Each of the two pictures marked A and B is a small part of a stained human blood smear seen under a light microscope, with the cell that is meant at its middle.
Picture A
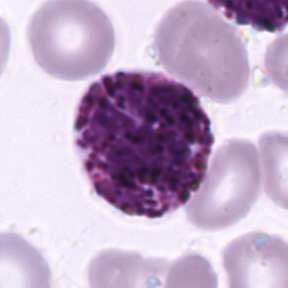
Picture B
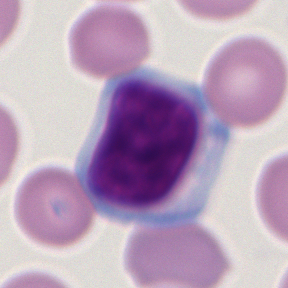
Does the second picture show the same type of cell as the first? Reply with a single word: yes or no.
no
